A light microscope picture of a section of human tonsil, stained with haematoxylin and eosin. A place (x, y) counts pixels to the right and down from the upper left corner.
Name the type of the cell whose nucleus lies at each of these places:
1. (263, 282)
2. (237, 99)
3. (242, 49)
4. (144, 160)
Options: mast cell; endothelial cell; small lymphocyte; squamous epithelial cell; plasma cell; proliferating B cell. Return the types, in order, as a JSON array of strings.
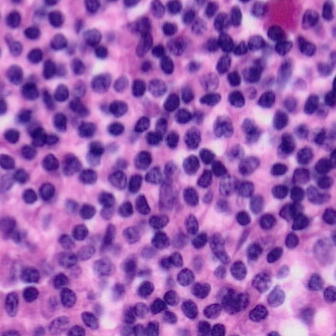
["plasma cell", "small lymphocyte", "small lymphocyte", "small lymphocyte"]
